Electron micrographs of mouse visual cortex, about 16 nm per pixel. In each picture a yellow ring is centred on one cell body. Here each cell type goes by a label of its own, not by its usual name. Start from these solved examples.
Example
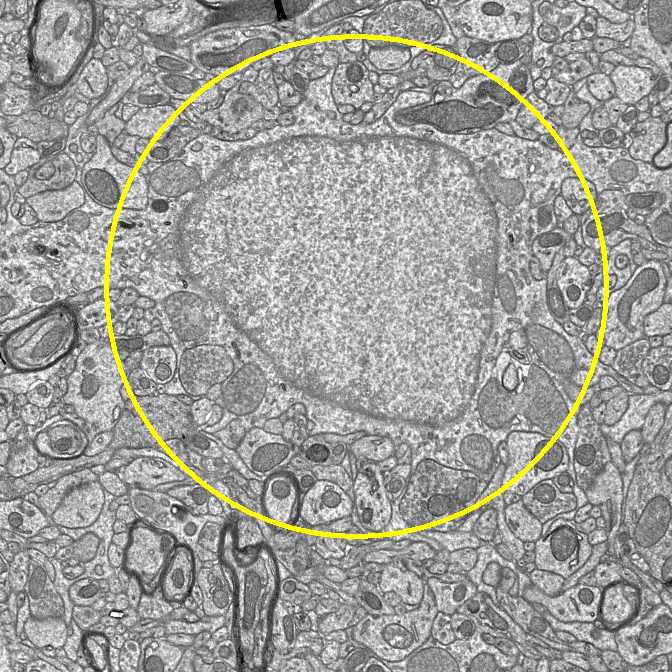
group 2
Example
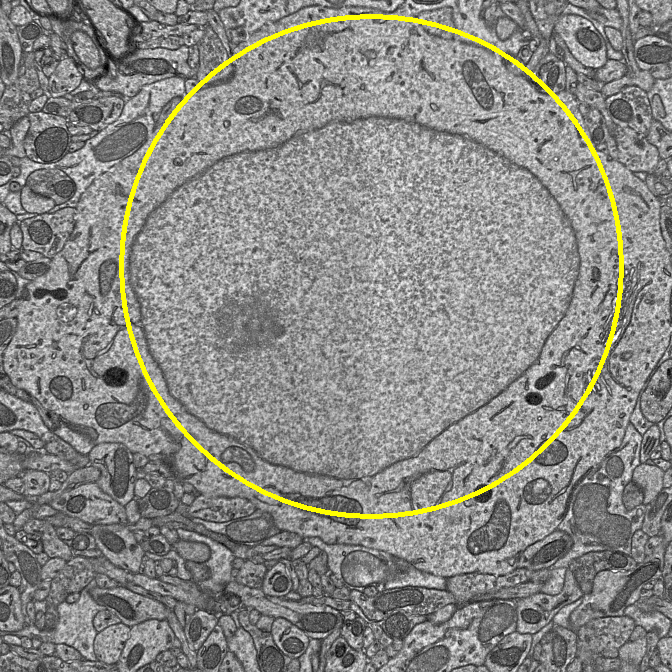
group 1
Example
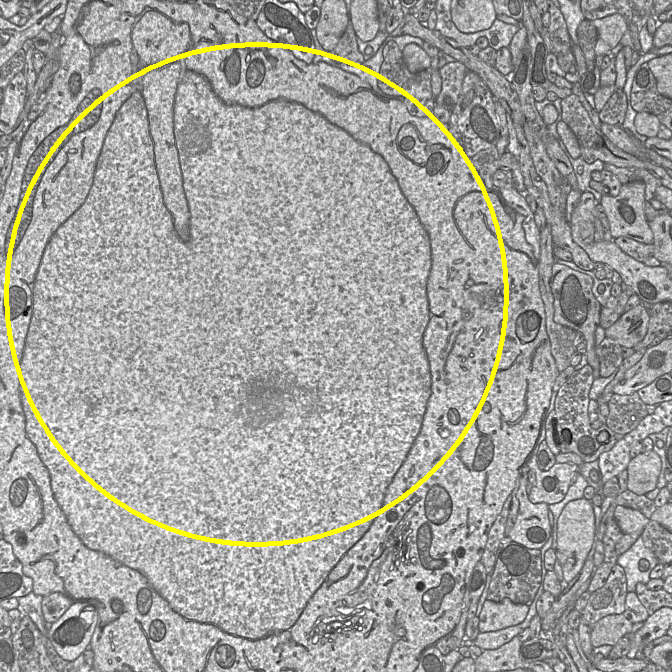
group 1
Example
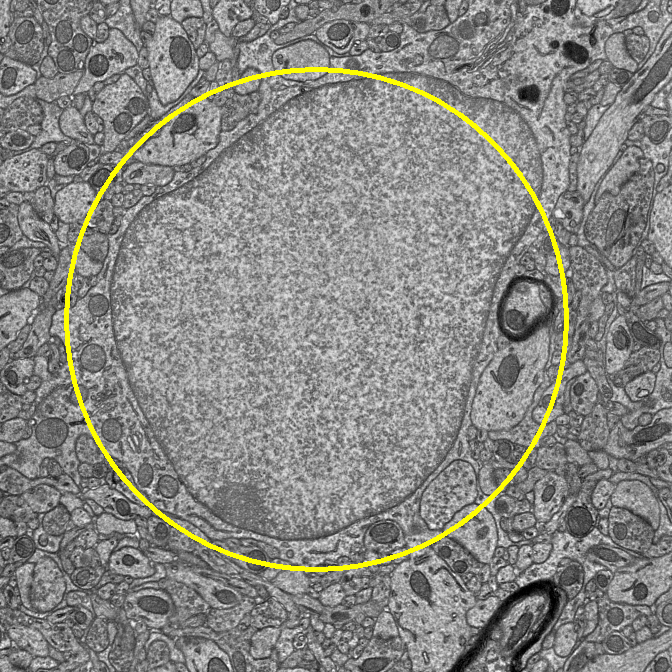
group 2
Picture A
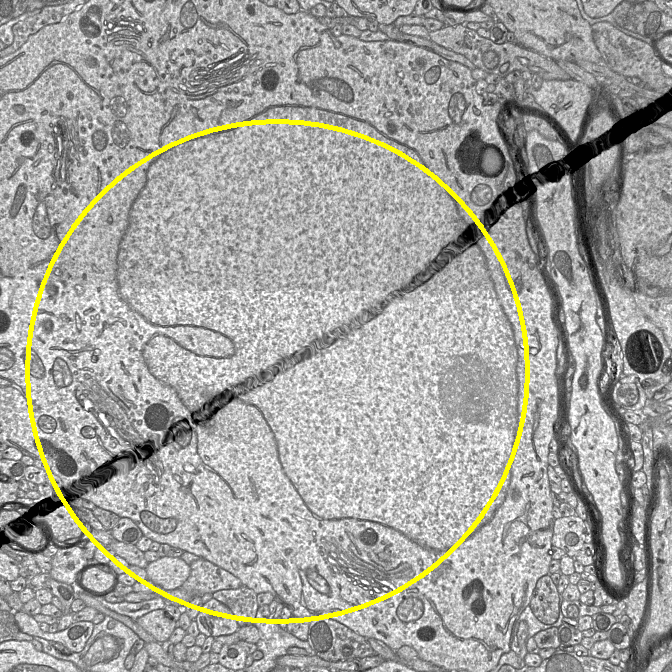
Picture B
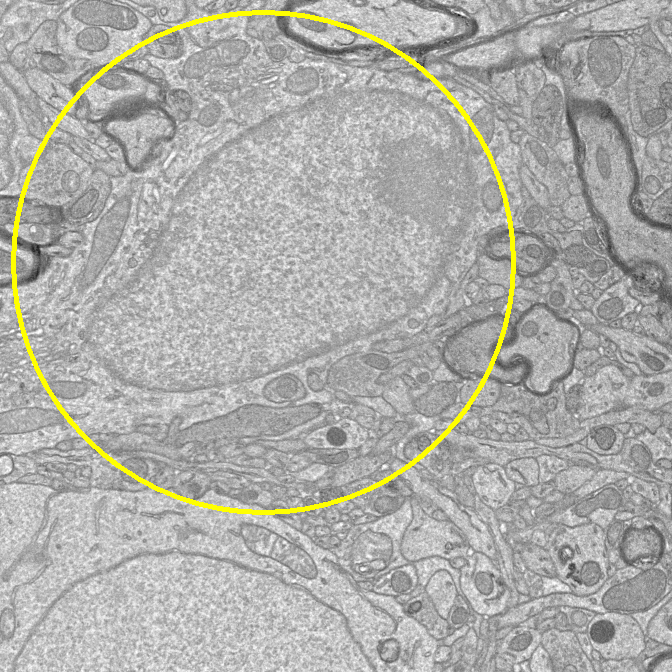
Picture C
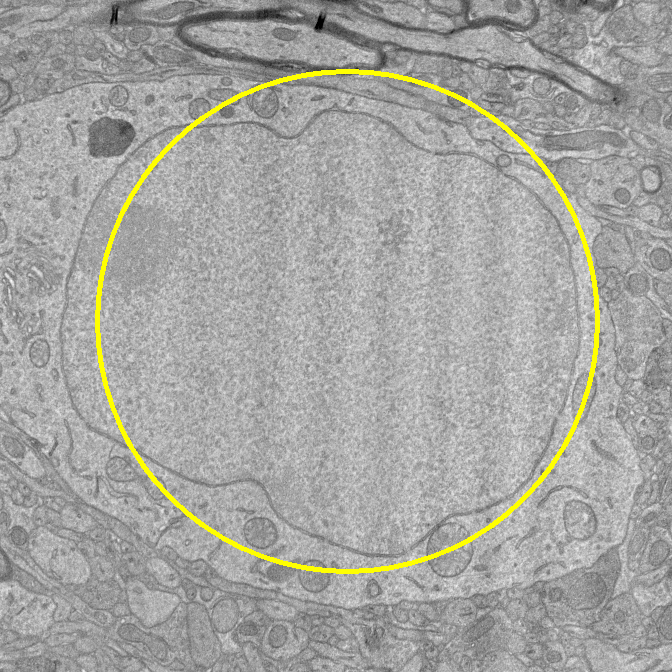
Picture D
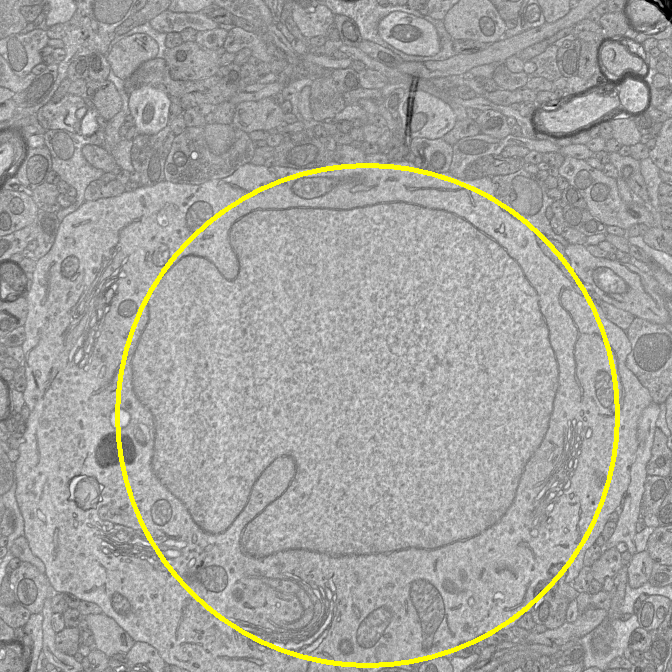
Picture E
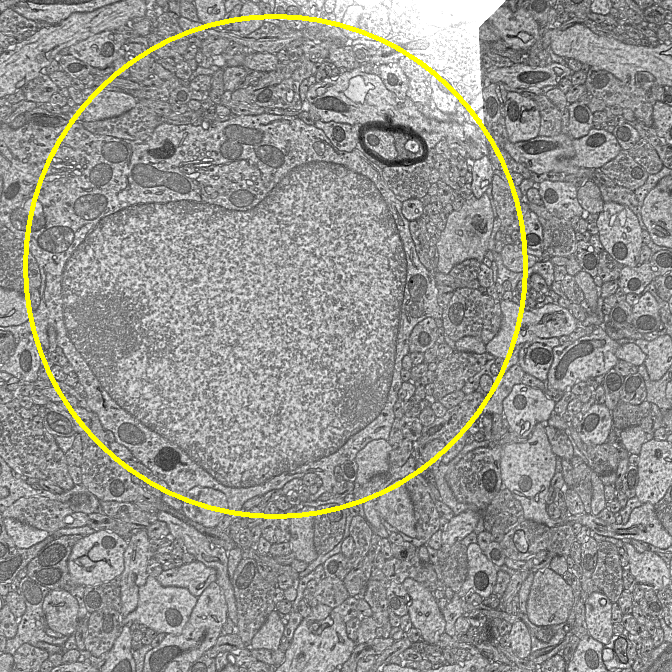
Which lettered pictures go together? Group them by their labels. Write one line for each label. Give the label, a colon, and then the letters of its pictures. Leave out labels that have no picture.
group 2: B, E
group 1: A, C, D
